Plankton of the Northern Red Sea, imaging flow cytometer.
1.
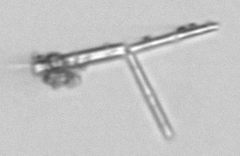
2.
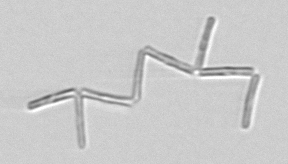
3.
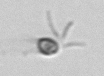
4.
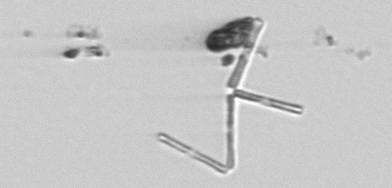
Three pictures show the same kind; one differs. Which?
Picture 3: Ophiaster, while the others are Thalassionema.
